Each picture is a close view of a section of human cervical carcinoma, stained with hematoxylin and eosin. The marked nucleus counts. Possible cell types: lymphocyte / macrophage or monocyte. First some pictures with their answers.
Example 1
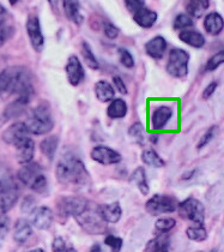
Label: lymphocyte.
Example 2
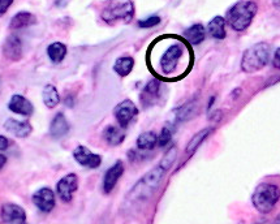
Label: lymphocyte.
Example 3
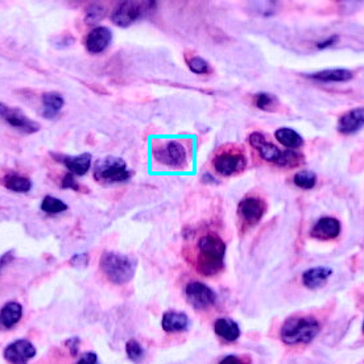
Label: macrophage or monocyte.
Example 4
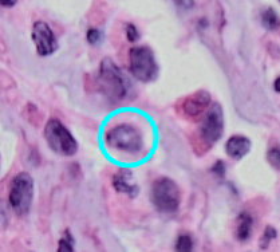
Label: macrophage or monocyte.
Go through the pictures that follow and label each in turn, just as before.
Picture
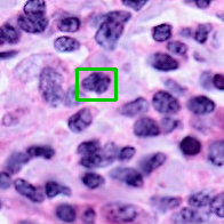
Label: lymphocyte.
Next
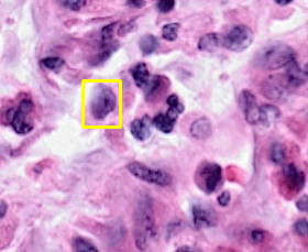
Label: macrophage or monocyte.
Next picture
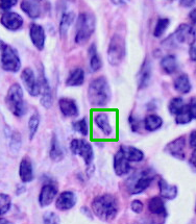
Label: lymphocyte.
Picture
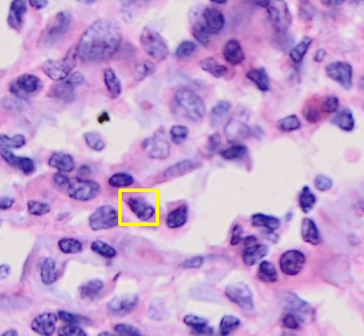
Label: lymphocyte.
